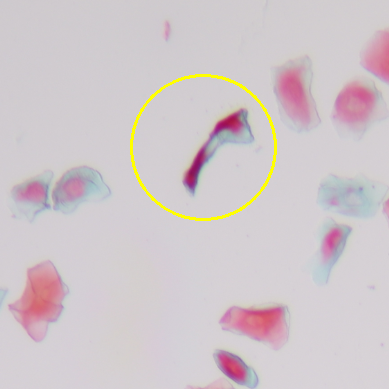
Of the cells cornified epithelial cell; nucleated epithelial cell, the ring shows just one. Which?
The ring shows a cornified epithelial cell.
